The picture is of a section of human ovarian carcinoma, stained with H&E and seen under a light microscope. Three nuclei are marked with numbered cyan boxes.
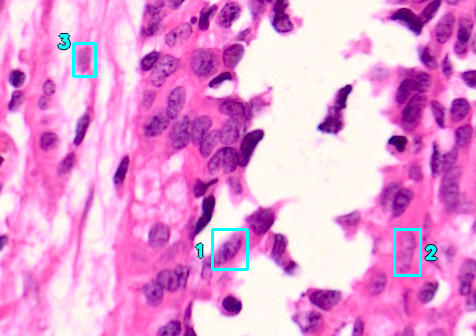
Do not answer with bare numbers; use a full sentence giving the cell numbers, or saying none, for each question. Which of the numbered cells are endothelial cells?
Nothing but cell 2 is an endothelial cell among the numbered ones.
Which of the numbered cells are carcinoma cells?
Of the cells bearing numbers, the only one that is a carcinoma cell is cell 1.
